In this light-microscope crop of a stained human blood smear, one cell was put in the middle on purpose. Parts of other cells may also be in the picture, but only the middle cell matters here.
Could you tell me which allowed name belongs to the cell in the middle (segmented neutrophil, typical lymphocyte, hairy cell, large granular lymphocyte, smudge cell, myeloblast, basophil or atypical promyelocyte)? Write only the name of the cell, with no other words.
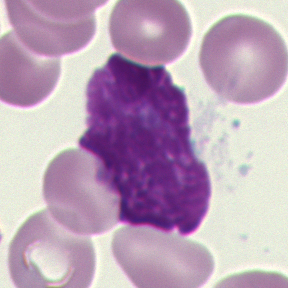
smudge cell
